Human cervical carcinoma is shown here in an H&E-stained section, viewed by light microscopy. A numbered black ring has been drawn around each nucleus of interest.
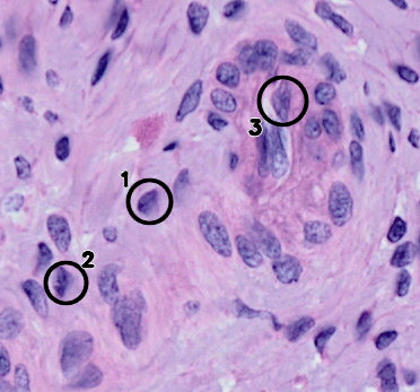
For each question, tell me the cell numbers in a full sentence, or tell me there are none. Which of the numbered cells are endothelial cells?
Among all the marked cells, an endothelial cell is found only at number 3.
